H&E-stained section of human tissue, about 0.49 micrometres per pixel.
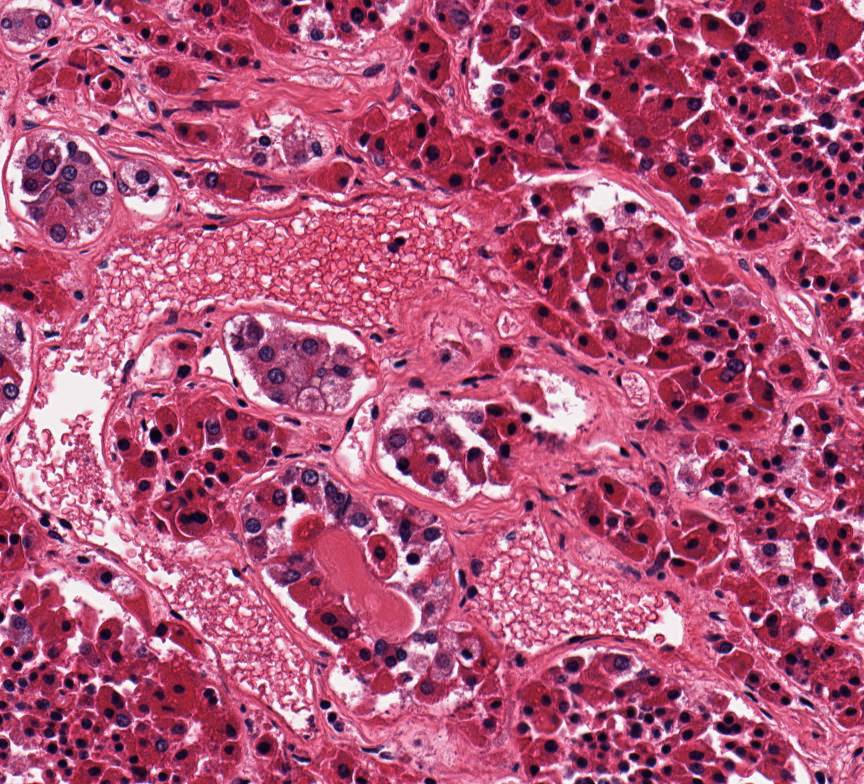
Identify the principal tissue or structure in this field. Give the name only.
pars distalis of the pituitary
